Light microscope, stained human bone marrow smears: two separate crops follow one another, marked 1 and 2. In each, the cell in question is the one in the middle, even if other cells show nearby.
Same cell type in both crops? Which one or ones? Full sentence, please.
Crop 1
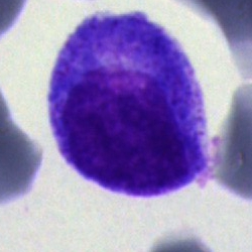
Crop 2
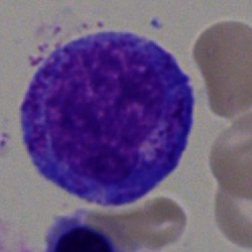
Yes, promyelocytes occupy the centre of both crops.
